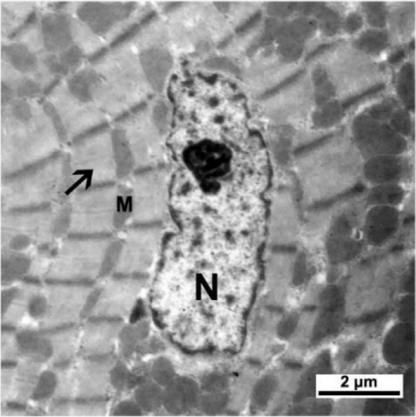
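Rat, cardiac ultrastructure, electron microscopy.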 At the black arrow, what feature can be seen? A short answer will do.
Striations of the myofibrils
